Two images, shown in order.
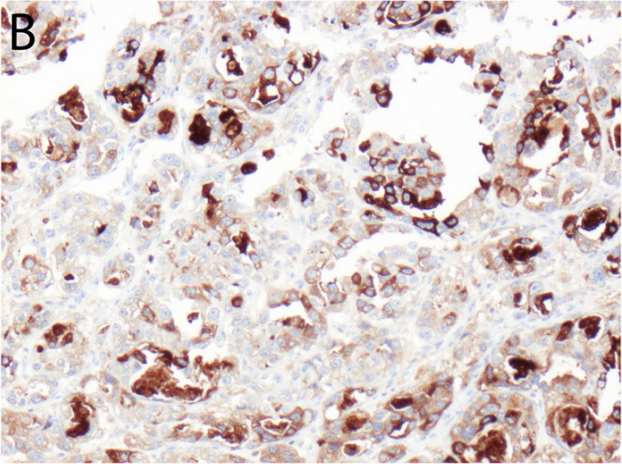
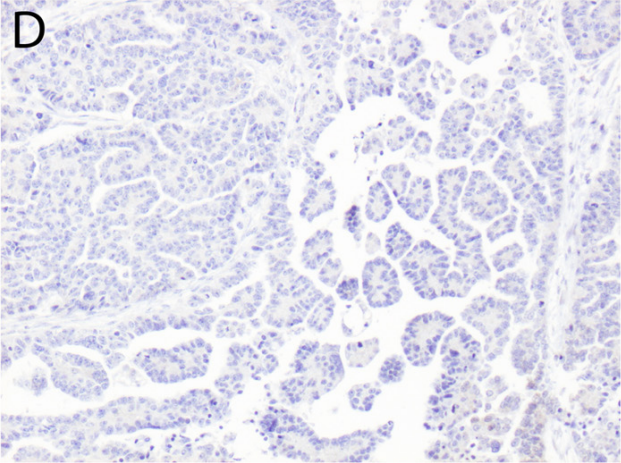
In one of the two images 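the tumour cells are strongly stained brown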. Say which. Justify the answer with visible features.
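Second image: tumour cells in papillary clusters show only blue counterstain, no brown. First image: many tumour cells show intense dark brown cytoplasm.
The first image.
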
